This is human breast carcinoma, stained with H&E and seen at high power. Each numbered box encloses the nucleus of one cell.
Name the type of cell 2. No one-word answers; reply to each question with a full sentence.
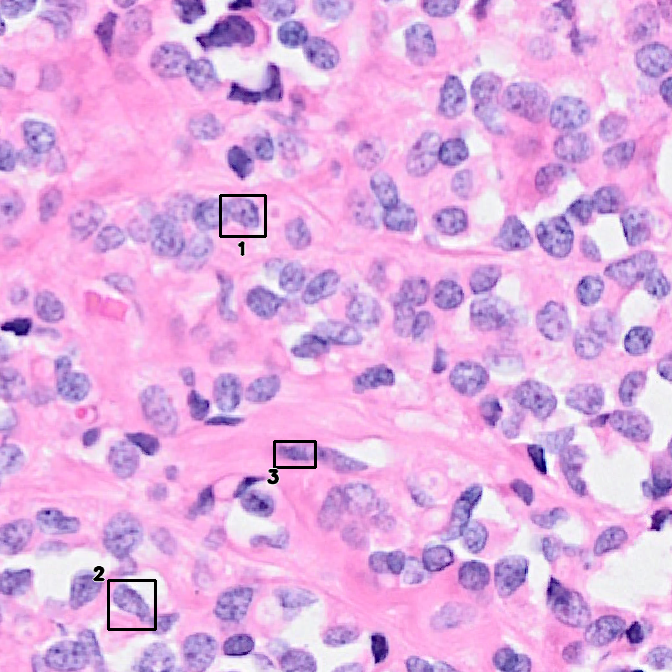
The correct answer for cell 2 is a carcinoma cell.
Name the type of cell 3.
The one labeled 3 is an endothelial cell, to put it simply.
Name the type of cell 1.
The cell bearing label 1 corresponds to a carcinoma cell.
